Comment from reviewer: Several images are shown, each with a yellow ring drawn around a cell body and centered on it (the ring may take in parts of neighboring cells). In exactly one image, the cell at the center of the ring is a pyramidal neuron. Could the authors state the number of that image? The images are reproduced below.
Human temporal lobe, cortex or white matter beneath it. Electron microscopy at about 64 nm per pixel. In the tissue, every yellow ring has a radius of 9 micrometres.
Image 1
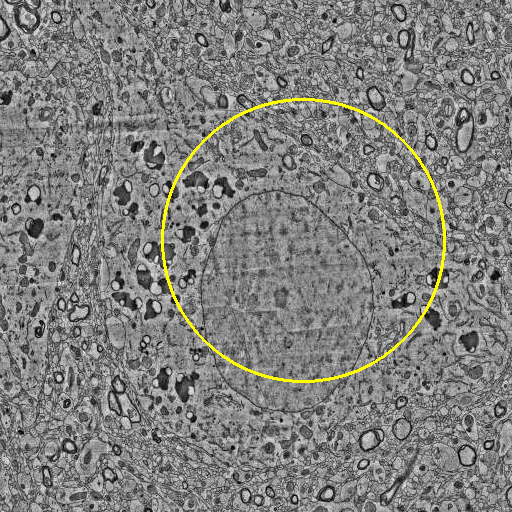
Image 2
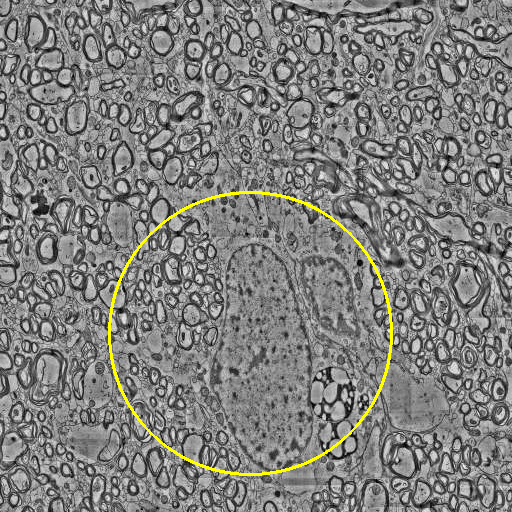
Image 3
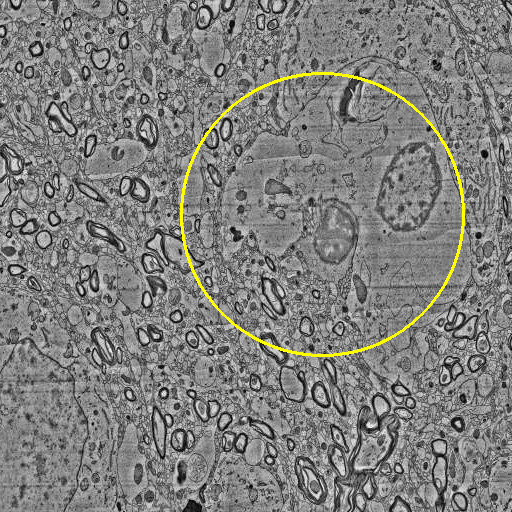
1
